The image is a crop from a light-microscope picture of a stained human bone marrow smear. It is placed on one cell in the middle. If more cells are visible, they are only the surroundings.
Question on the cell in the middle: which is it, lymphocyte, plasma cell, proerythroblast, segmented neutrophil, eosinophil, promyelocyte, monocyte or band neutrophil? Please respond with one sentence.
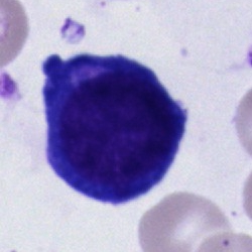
In this crop, the cell at the very middle is a proerythroblast.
